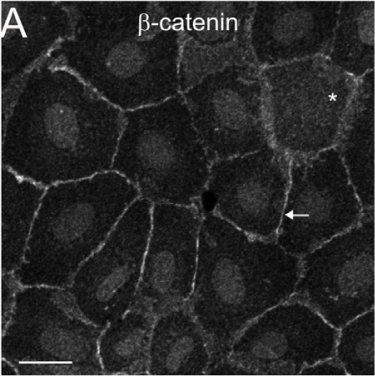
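A confluent sheet of polygonal epithelial cells is shown, packed in a cobblestone arrangement. Bright, continuous lines trace the borders where neighbouring cells touch, outlining every cell. The cytoplasm is weakly and evenly stained. One cell in the upper right has a more diffuse, speckled cytoplasm without a clear nucleus, marking a cell in division.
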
